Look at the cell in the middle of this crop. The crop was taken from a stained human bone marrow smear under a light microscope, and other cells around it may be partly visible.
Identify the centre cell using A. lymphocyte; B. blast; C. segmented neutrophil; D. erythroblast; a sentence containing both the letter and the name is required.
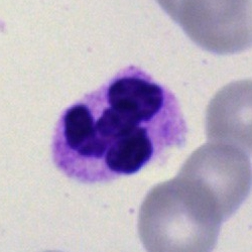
Answer key: option C, the middle cell being a segmented neutrophil.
